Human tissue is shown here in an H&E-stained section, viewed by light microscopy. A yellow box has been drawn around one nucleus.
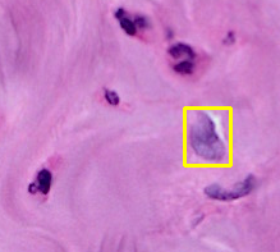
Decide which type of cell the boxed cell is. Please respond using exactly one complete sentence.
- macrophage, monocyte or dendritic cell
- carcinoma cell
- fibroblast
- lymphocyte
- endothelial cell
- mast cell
The cell type of the boxed cell is that of a fibroblast.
